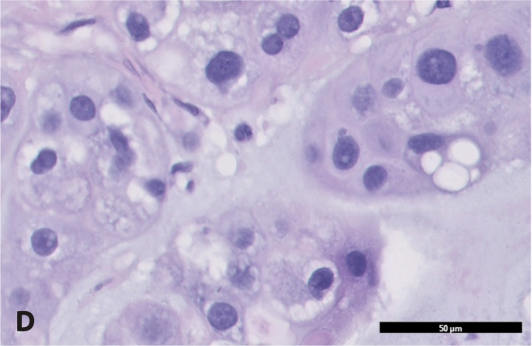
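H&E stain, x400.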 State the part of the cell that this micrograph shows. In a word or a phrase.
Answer: clear/vacuolated cytoplasm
